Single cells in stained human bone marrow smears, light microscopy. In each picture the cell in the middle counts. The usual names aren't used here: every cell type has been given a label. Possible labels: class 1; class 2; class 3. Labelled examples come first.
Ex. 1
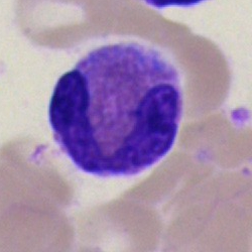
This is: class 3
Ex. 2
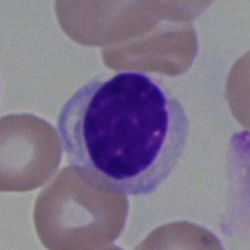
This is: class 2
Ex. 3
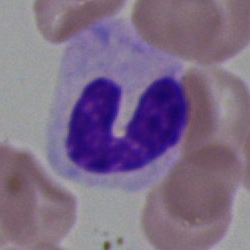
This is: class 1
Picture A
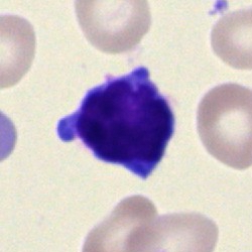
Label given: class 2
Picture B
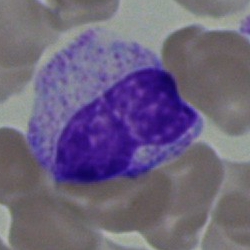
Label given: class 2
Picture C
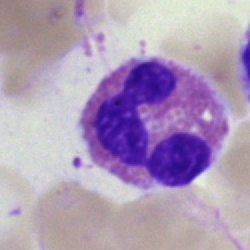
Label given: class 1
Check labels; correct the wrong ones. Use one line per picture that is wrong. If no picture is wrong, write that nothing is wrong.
B: change class 2 to class 1
C: change class 1 to class 3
